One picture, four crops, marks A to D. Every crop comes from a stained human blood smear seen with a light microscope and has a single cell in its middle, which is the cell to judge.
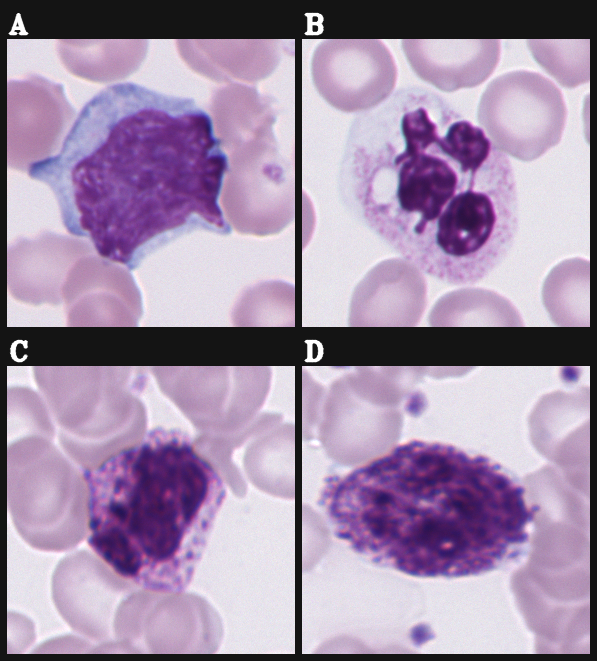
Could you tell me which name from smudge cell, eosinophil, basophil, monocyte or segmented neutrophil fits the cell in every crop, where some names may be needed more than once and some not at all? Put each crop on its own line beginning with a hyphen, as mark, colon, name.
- A: monocyte
- B: segmented neutrophil
- C: basophil
- D: basophil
